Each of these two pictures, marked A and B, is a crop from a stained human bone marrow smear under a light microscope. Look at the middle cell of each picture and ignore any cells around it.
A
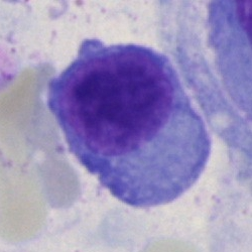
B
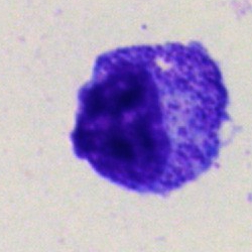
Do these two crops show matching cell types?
no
